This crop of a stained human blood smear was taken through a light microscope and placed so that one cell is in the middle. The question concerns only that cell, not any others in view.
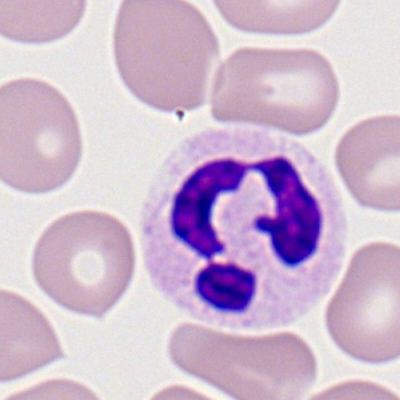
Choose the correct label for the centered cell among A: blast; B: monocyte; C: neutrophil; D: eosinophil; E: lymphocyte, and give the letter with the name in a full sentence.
Well, the cell in the middle is a neutrophil, making option C right.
